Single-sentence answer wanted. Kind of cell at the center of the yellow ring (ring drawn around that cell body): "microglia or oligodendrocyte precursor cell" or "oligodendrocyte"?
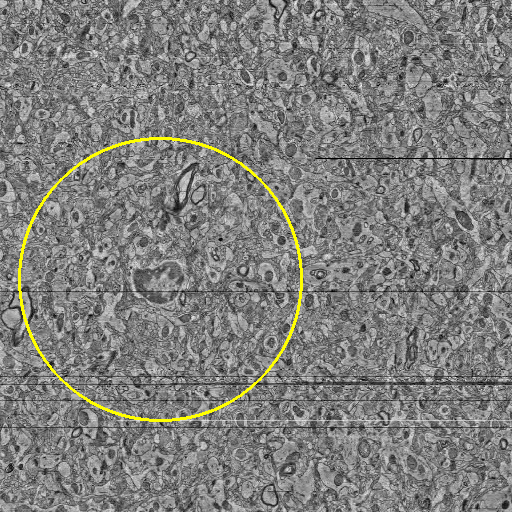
The cell centered in the ring is a microglial cell or oligodendrocyte precursor cell.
